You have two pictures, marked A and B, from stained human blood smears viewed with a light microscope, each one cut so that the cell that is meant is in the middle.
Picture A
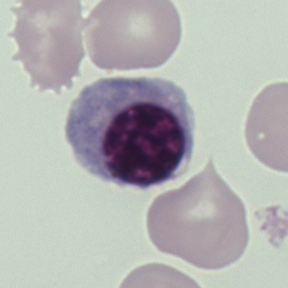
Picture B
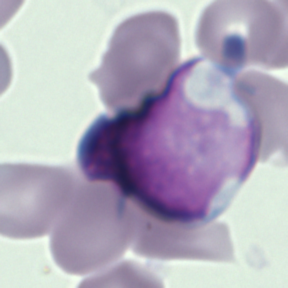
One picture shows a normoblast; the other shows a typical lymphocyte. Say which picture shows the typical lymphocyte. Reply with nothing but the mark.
B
